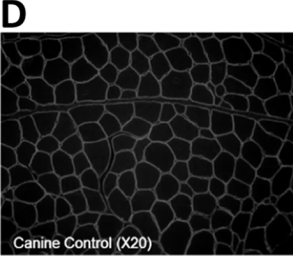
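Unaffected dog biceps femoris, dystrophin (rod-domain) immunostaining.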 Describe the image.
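Skeletal muscle in cross-section, with muscle fibres cut transversely. Each fibre appears as a polygonal profile with a dark interior, outlined by a thin, continuous bright line at its membrane. The fibres are closely packed and of fairly similar size, forming a regular mosaic. A thin band without fibre profiles runs across the field, dividing the fibres into groups. The outlining signal is even around the whole circumference of almost every fibre, and little signal lies within the fibres.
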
